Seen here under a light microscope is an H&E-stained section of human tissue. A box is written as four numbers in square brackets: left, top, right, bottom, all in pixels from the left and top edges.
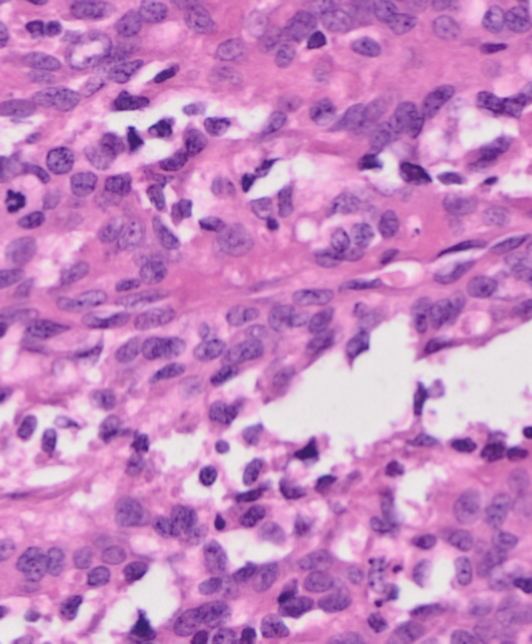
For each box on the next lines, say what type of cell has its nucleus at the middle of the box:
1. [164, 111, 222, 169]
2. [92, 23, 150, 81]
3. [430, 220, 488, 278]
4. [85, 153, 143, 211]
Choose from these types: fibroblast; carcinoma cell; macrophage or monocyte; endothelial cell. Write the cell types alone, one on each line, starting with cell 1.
carcinoma cell
carcinoma cell
endothelial cell
carcinoma cell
